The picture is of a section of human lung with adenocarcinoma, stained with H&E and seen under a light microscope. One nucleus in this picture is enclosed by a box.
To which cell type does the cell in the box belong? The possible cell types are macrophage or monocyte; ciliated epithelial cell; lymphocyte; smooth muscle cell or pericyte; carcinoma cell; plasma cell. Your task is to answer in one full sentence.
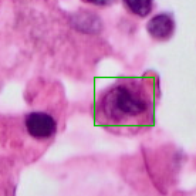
It is as a macrophage or monocyte that the cell in the box is classified.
